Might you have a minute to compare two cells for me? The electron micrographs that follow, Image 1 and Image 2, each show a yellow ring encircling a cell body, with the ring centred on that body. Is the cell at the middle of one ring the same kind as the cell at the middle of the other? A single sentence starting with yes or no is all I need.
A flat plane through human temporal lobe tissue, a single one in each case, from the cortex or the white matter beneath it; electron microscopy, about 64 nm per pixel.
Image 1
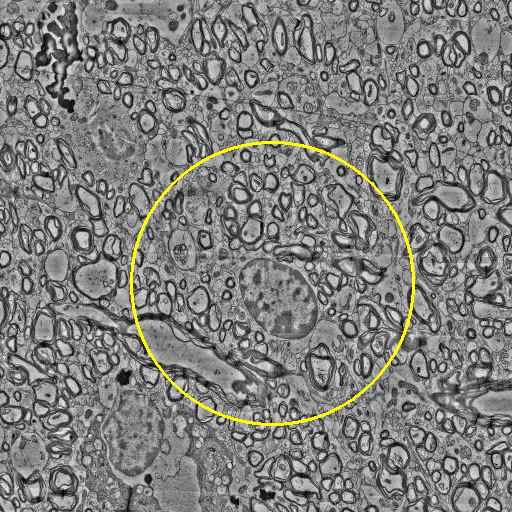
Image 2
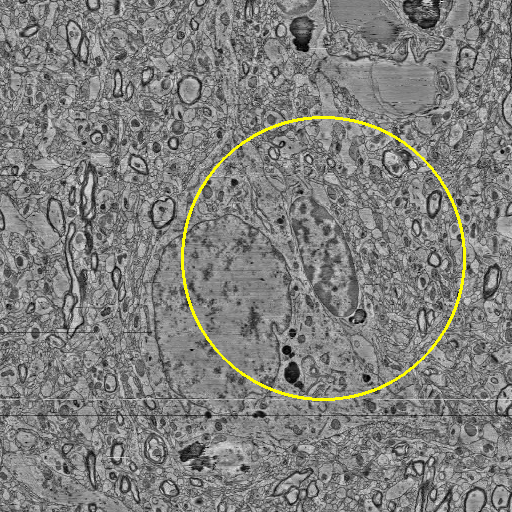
Yes, the cells in the middle of the two rings are of one shared kind.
